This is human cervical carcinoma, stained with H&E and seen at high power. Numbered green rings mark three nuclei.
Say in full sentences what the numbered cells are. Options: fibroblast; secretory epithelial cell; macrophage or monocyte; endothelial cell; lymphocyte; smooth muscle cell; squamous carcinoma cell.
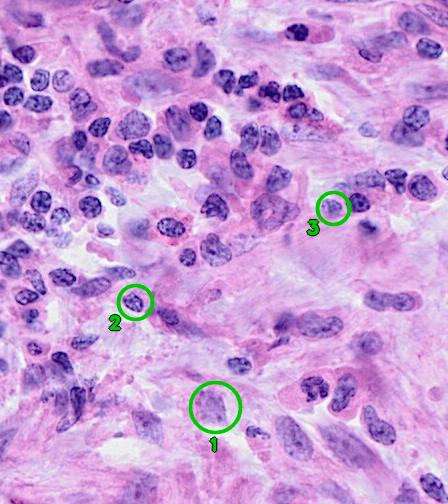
Cell 1 is a fibroblast, cell 2 is a lymphocyte and cell 3 is a lymphocyte.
